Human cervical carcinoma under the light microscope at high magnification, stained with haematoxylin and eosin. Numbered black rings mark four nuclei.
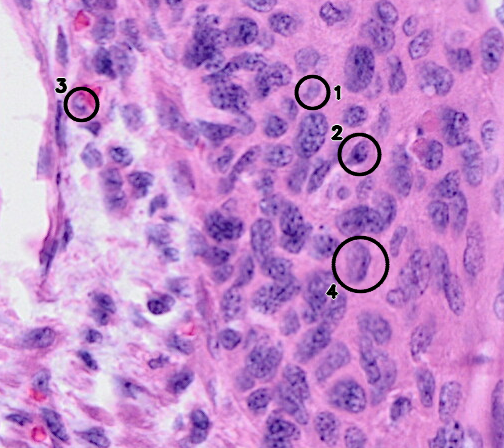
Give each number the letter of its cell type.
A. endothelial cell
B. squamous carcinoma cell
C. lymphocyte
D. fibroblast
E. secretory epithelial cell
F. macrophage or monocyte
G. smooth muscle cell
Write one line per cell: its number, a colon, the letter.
1: B
2: B
3: A
4: B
